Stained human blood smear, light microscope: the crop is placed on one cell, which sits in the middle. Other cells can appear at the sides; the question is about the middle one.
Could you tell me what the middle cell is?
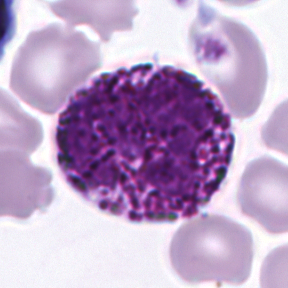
basophil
